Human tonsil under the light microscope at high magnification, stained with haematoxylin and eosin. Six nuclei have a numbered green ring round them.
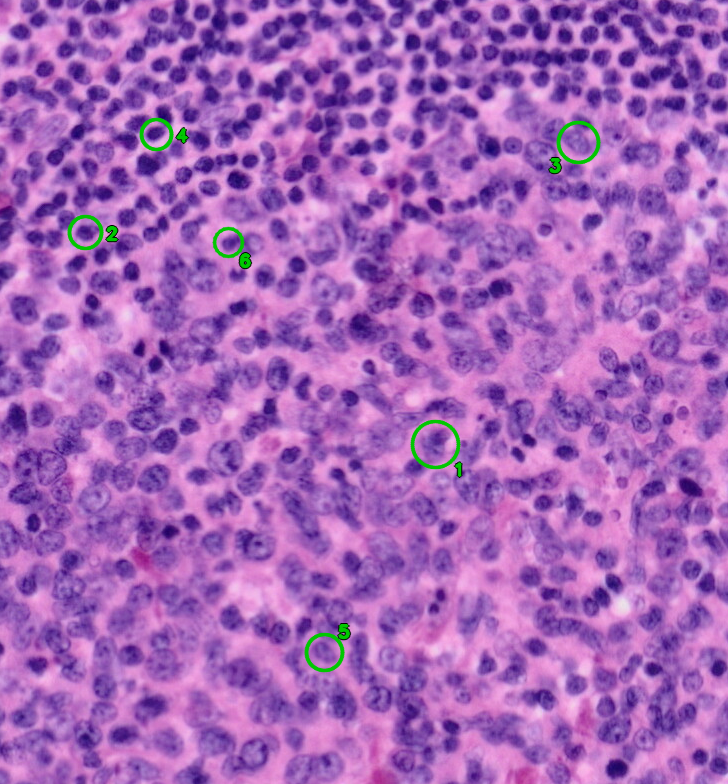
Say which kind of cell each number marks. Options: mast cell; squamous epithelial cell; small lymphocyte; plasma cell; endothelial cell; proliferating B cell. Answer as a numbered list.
1. proliferating B cell
2. small lymphocyte
3. proliferating B cell
4. small lymphocyte
5. proliferating B cell
6. proliferating B cell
